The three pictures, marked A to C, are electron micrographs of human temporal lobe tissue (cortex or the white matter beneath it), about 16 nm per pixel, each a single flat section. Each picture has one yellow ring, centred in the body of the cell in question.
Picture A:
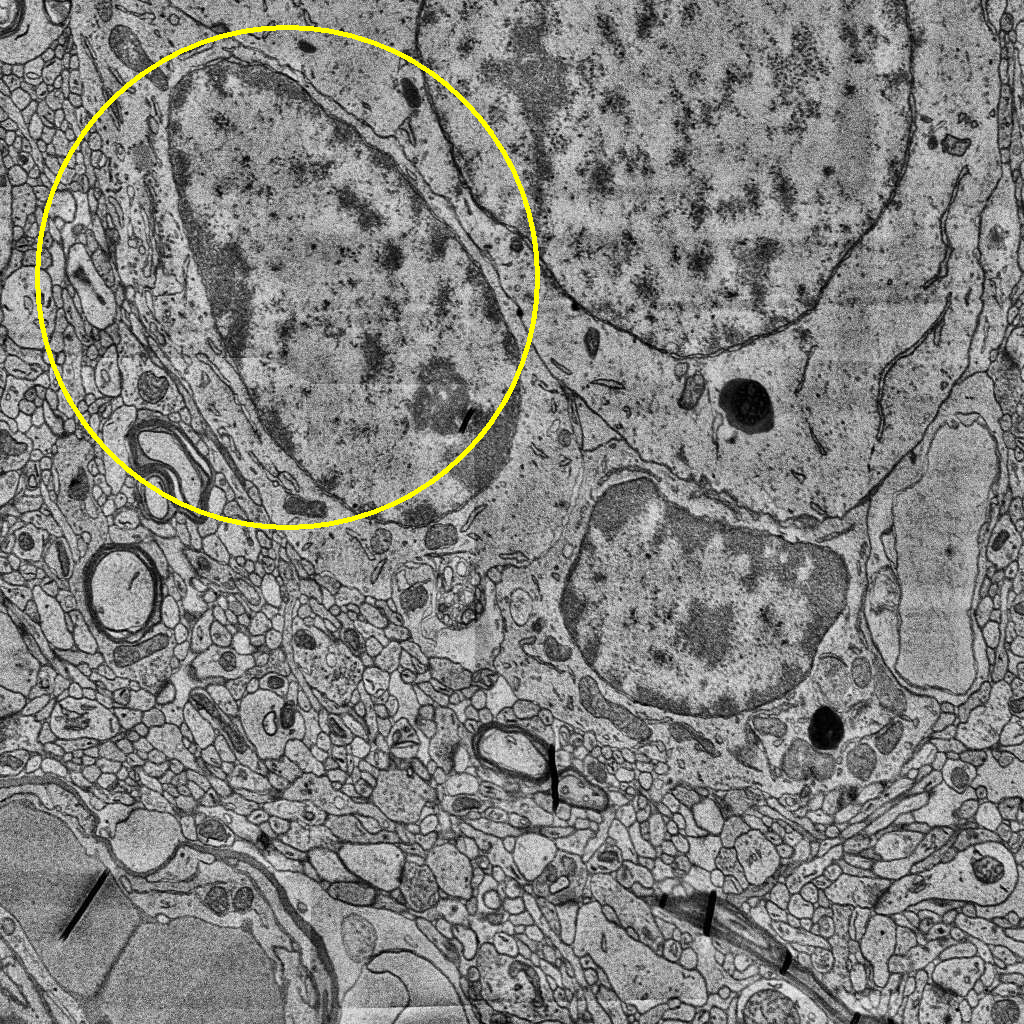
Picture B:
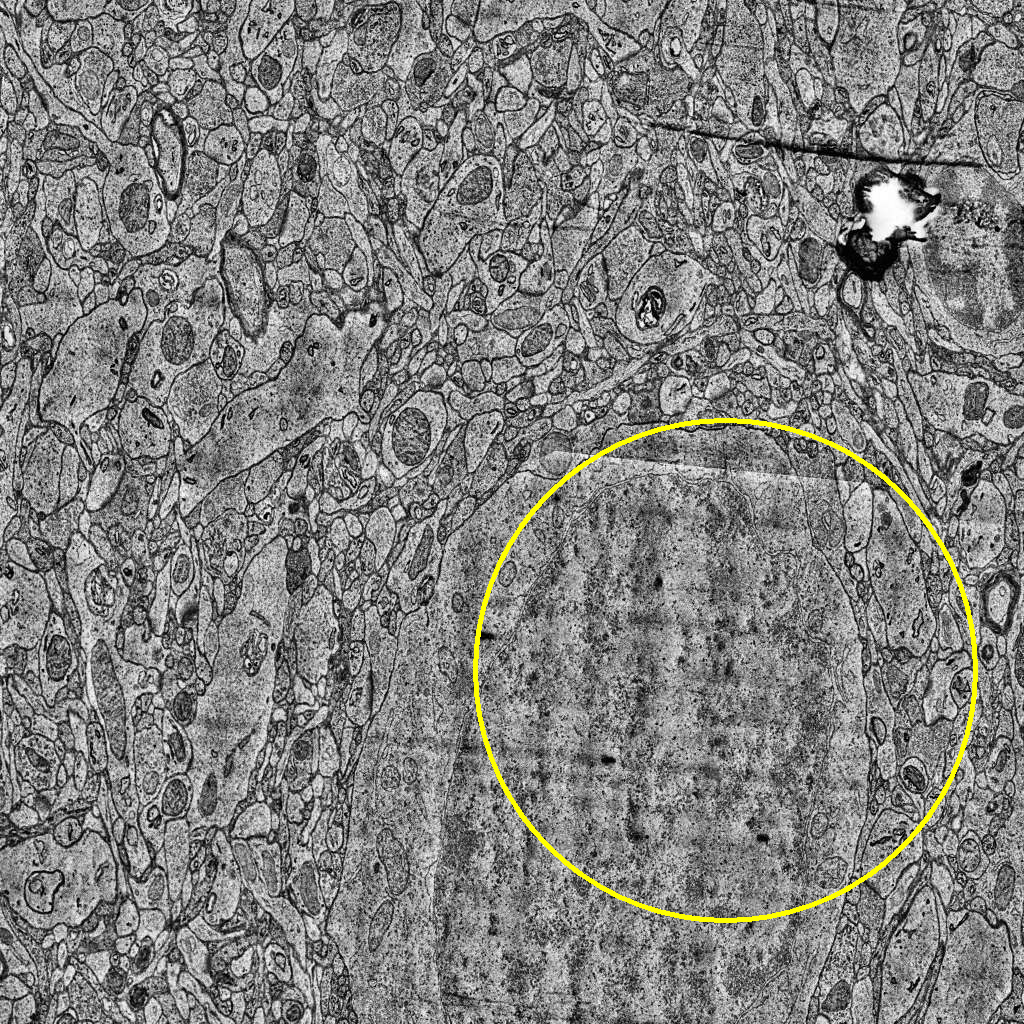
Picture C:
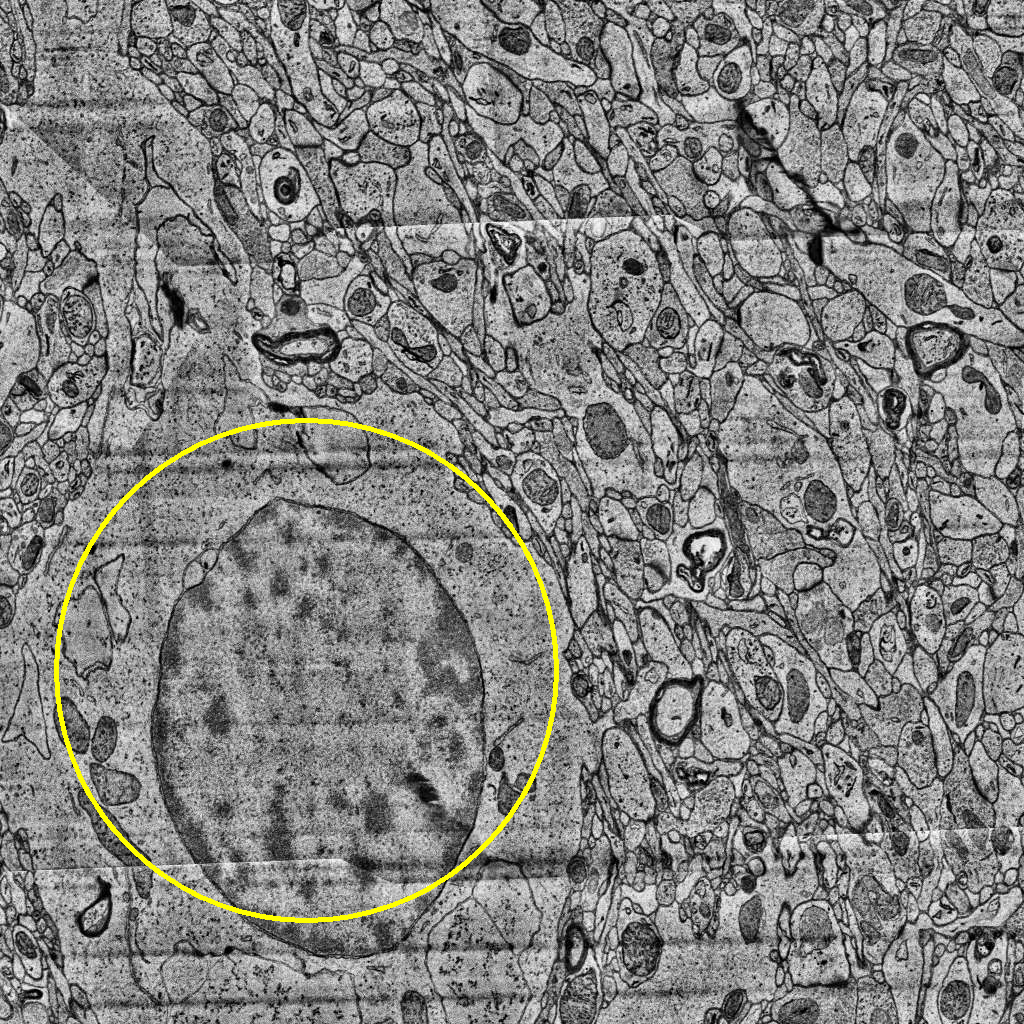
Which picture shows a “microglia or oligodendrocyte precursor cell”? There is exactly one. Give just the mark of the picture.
A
